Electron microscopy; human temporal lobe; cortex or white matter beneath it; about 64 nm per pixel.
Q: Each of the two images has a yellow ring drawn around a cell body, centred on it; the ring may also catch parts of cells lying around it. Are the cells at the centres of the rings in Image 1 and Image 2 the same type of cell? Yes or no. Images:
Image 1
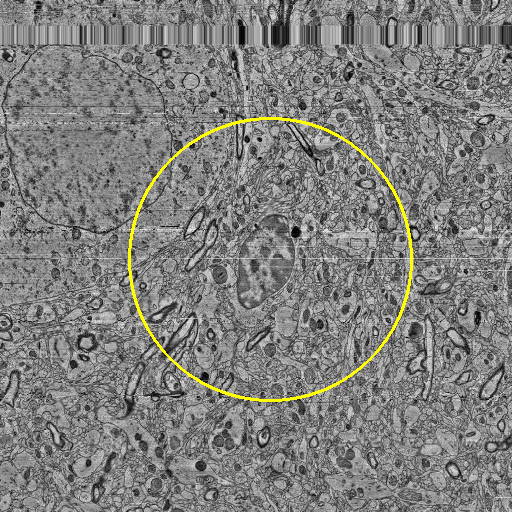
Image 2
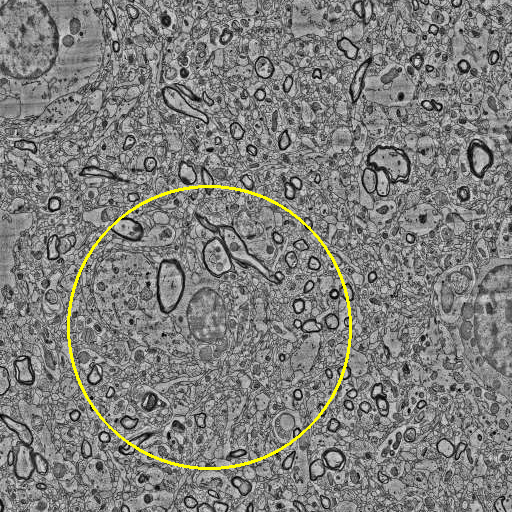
no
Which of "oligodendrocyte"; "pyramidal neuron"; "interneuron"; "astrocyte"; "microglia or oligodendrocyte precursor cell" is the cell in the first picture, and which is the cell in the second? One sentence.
The two differ: the first cell is a microglial cell or oligodendrocyte precursor cell and the second is an oligodendrocyte.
